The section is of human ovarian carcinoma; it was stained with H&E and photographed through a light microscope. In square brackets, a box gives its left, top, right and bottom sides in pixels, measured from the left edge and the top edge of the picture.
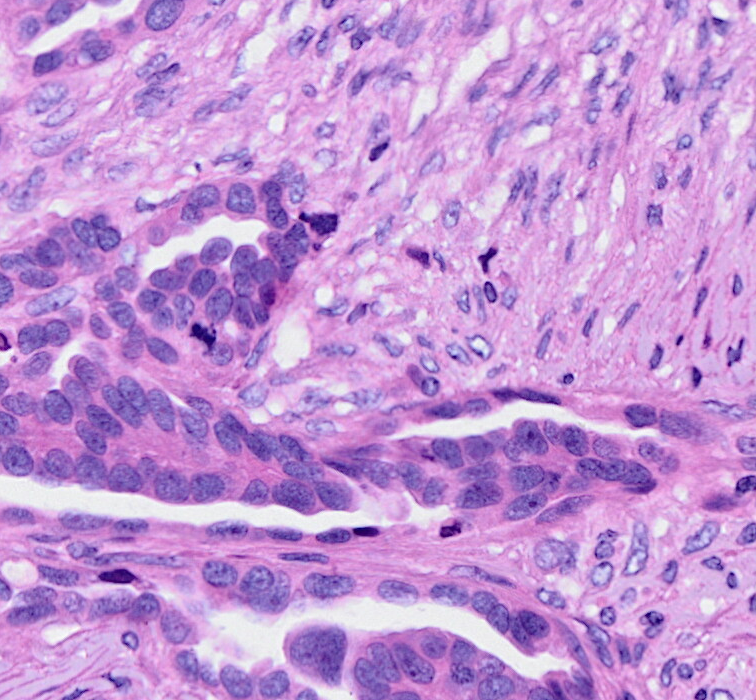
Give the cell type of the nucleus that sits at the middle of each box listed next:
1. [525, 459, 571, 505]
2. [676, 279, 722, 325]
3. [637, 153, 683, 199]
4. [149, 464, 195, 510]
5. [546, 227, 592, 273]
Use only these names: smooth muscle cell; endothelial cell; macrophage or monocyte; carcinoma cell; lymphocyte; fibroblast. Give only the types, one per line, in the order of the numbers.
carcinoma cell
fibroblast
fibroblast
carcinoma cell
fibroblast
